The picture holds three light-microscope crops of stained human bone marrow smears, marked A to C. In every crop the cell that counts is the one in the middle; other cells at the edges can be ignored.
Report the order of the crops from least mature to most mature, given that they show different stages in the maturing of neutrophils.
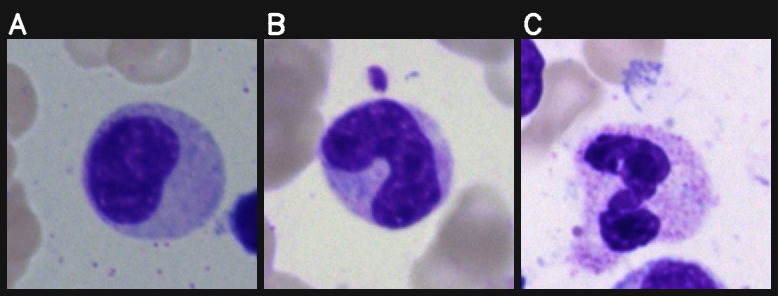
A, B, C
